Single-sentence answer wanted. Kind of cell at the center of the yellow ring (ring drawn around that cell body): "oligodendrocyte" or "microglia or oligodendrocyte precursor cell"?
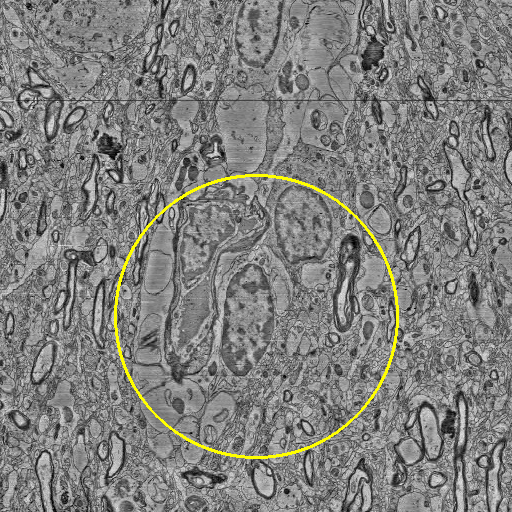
The cell centered in the ring is a microglial cell or oligodendrocyte precursor cell.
